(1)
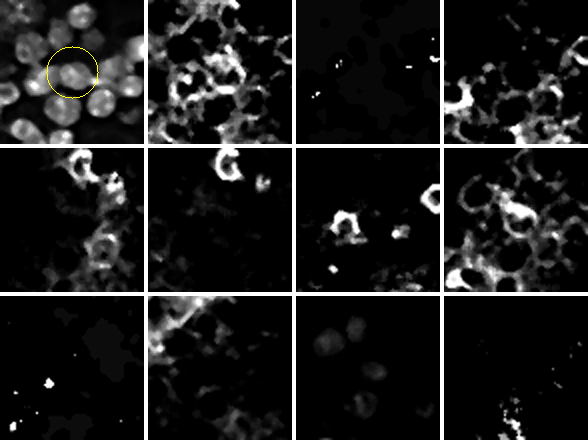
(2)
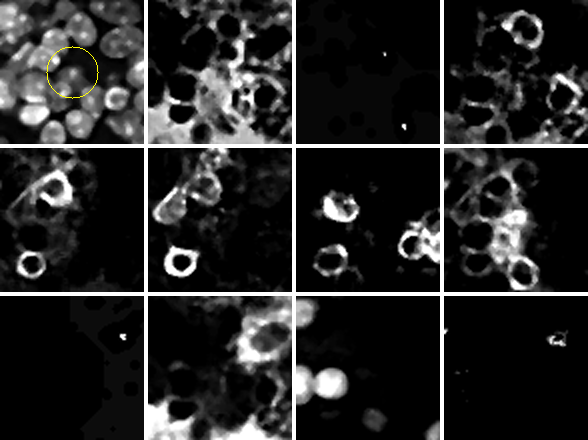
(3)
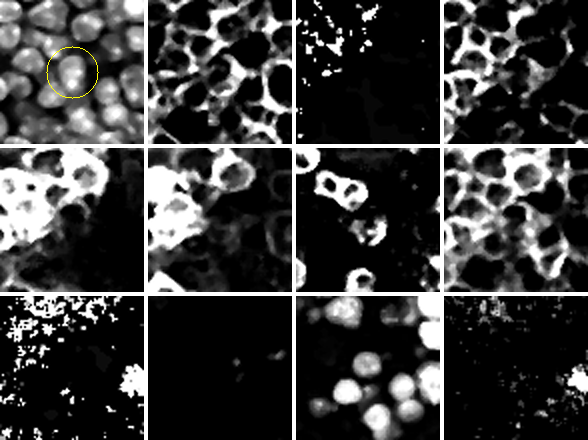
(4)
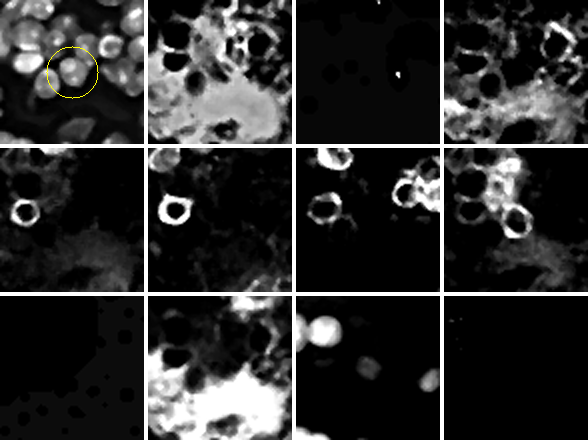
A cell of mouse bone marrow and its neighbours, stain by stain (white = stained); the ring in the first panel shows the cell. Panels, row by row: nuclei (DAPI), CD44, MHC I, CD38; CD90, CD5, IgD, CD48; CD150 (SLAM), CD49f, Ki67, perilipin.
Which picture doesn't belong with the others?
Picture 3.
